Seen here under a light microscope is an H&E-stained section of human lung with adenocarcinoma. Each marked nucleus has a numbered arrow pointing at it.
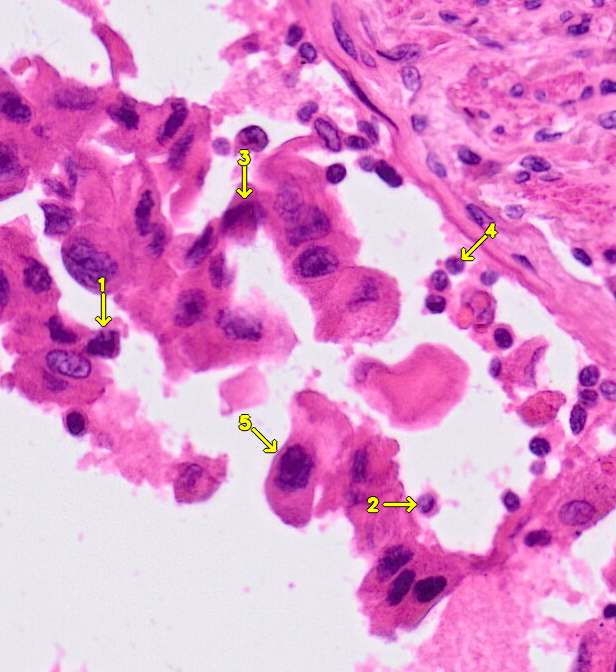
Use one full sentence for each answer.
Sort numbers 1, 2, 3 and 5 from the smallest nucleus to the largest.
The order from the smallest nucleus to the largest is 2, 1, 3, 5.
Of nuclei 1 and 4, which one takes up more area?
Number 1 is larger; its area is about 3 times that of number 4.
